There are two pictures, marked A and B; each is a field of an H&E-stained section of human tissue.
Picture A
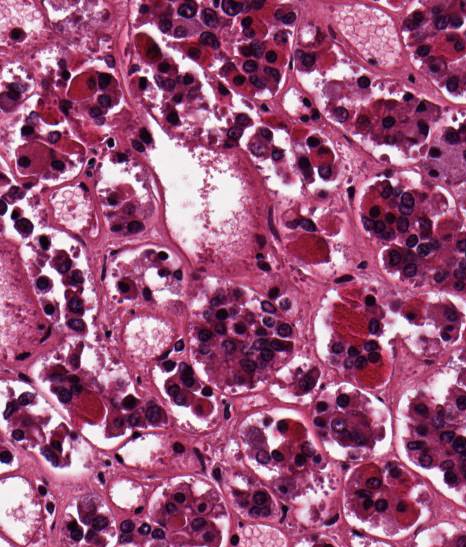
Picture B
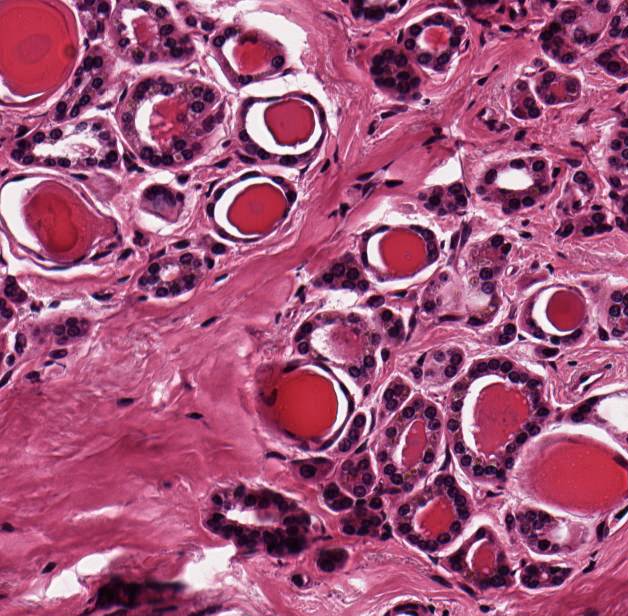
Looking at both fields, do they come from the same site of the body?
no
